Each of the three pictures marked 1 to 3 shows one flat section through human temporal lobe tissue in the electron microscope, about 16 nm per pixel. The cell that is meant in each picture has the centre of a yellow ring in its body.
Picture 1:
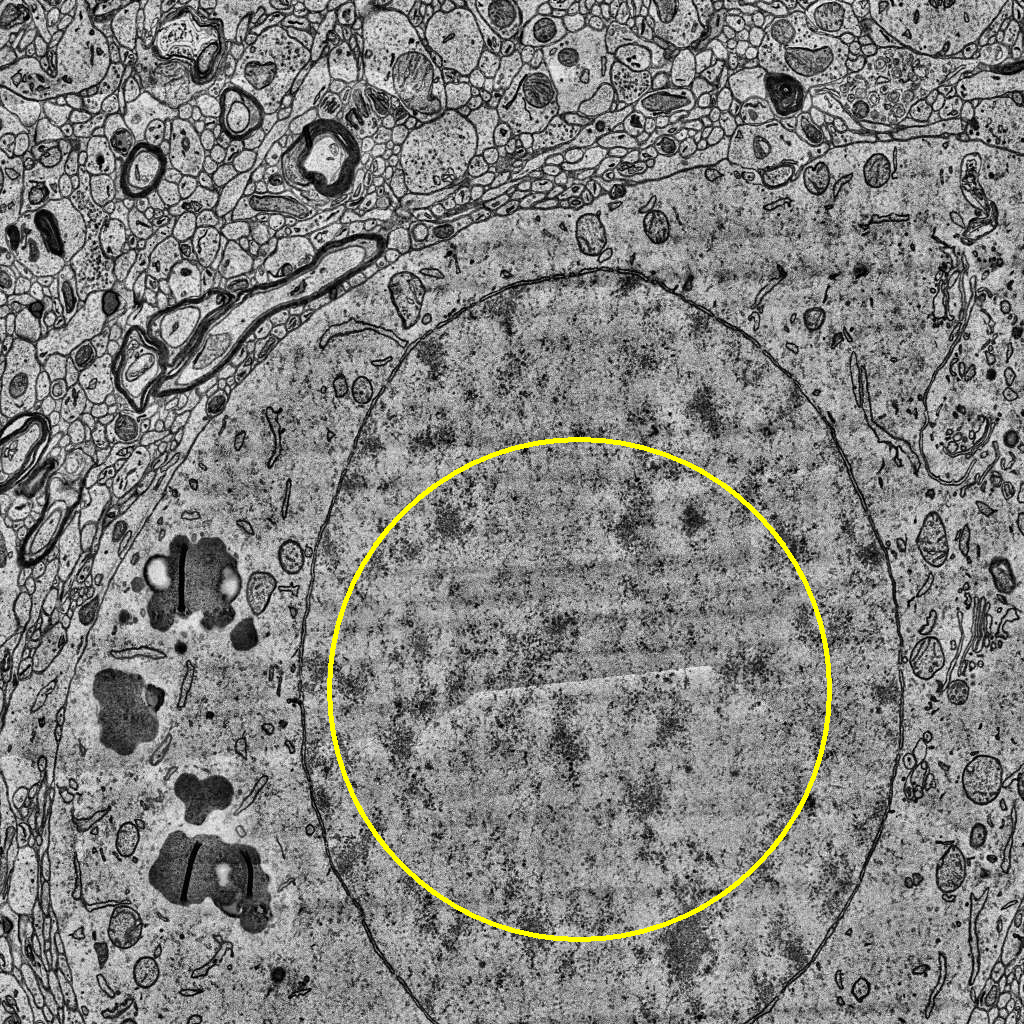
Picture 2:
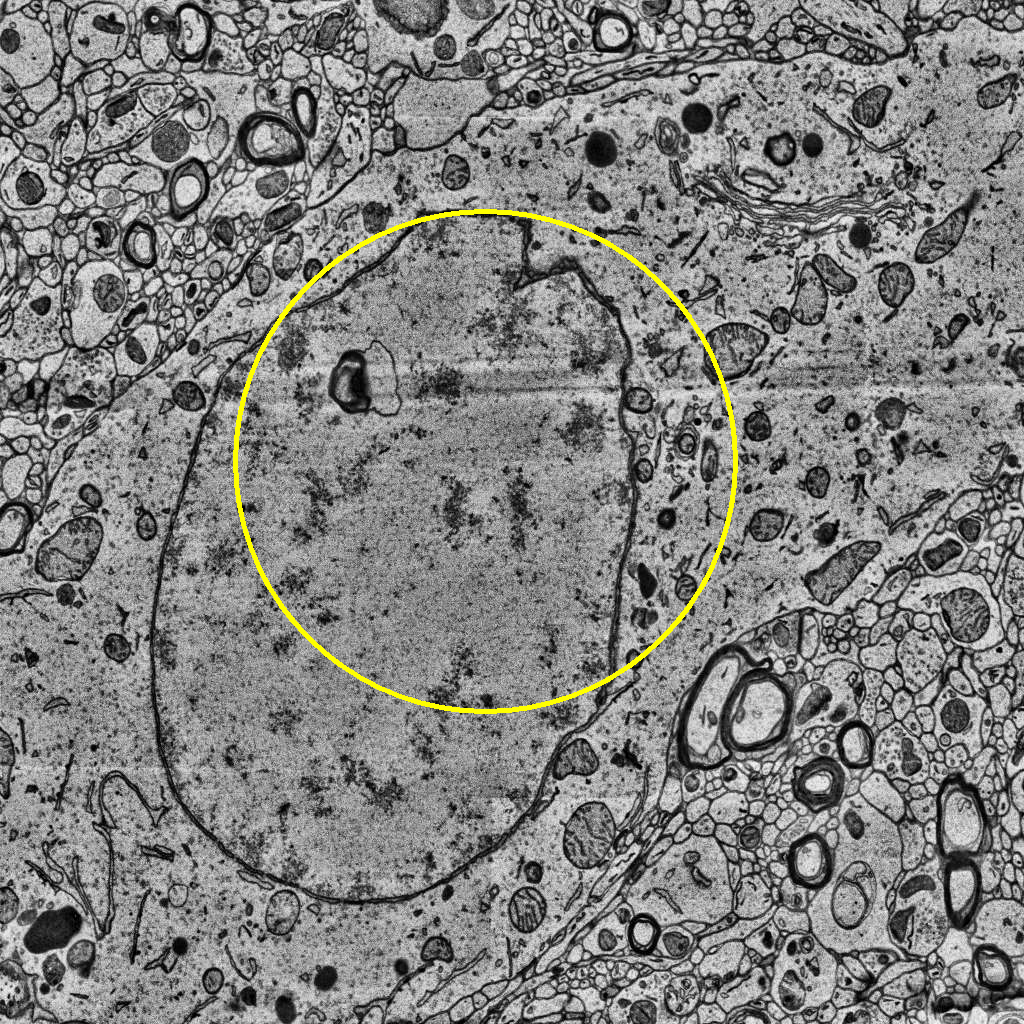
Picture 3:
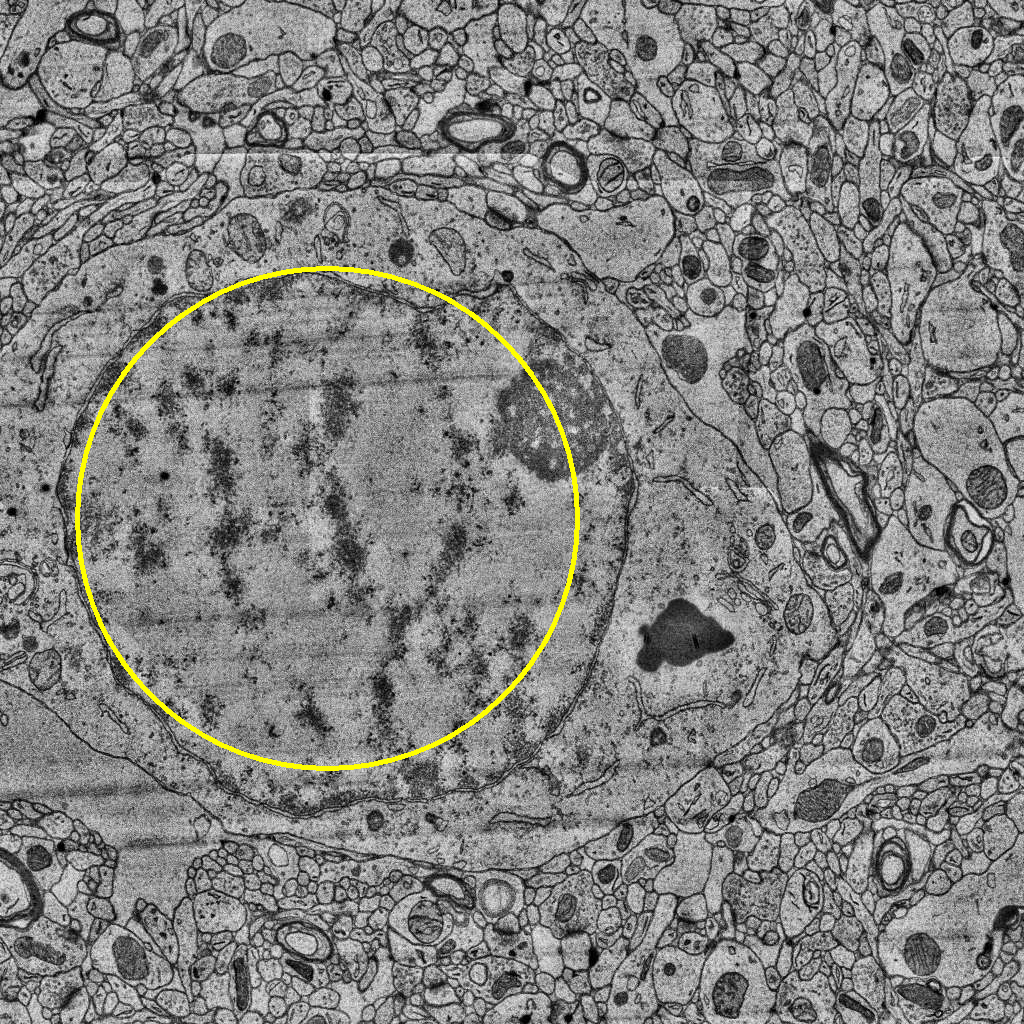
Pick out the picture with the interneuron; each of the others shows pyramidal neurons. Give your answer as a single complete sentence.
Picture 3 shows the interneuron.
